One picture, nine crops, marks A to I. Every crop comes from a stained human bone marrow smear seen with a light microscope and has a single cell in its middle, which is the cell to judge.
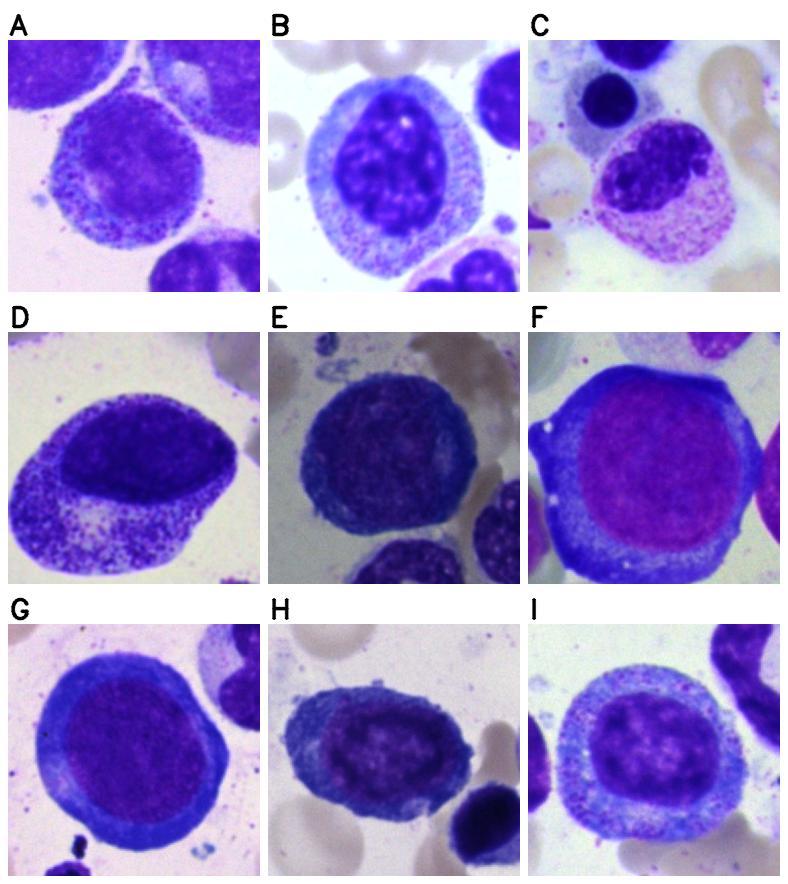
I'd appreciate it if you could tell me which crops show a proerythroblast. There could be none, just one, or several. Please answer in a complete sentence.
The cells marked E, F, G and H are proerythroblasts.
